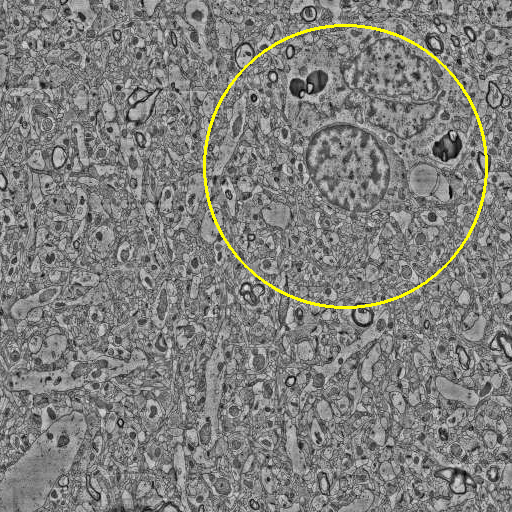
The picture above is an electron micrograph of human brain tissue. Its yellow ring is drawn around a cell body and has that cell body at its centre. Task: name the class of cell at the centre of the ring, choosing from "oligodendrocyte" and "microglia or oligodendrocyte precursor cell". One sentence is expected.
The ring surrounds the body of an oligodendrocyte.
